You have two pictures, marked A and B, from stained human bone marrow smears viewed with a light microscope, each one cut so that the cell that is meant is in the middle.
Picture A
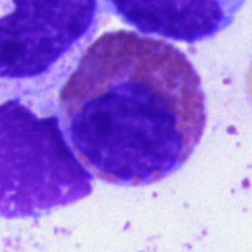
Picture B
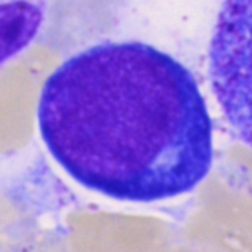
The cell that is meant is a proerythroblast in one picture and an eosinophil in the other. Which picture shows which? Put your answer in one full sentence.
Picture B shows a proerythroblast, while picture A shows an eosinophil.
